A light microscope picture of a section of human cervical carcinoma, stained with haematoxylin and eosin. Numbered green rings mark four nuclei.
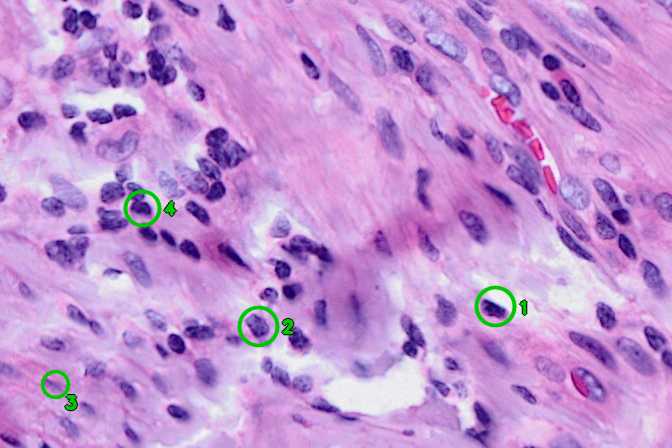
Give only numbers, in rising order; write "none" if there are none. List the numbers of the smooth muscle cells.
3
